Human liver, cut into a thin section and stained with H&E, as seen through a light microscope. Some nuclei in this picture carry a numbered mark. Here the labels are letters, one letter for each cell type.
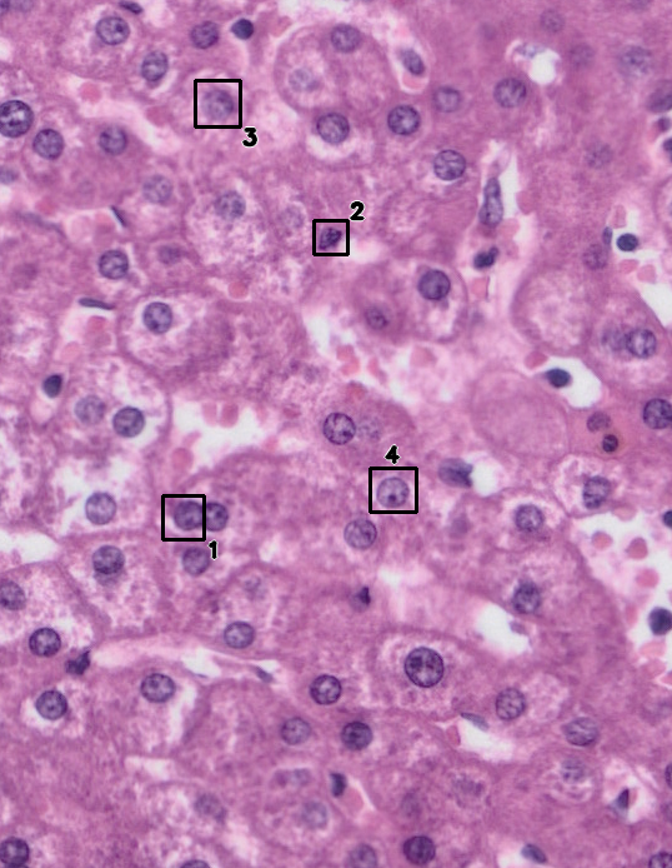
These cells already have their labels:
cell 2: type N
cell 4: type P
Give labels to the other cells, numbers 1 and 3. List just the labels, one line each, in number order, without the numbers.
type P
type P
